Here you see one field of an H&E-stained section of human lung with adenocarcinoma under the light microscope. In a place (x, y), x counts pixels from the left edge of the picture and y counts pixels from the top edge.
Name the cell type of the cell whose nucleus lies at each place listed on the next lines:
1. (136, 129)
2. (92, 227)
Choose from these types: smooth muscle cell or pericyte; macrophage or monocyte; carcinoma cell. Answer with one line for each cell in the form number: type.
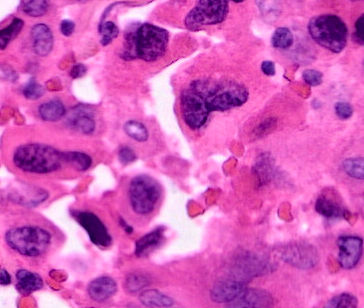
1: macrophage or monocyte
2: carcinoma cell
